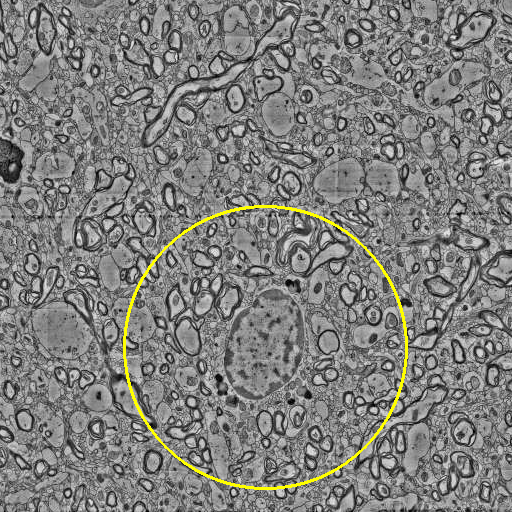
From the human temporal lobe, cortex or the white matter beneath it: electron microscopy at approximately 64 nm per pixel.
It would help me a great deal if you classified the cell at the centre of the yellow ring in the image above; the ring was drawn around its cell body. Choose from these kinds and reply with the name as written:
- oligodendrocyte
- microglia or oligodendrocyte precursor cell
microglia or oligodendrocyte precursor cell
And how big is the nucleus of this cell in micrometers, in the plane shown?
Roughly 7 by 5 micrometres in this plane, for the nucleus of the ringed cell.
